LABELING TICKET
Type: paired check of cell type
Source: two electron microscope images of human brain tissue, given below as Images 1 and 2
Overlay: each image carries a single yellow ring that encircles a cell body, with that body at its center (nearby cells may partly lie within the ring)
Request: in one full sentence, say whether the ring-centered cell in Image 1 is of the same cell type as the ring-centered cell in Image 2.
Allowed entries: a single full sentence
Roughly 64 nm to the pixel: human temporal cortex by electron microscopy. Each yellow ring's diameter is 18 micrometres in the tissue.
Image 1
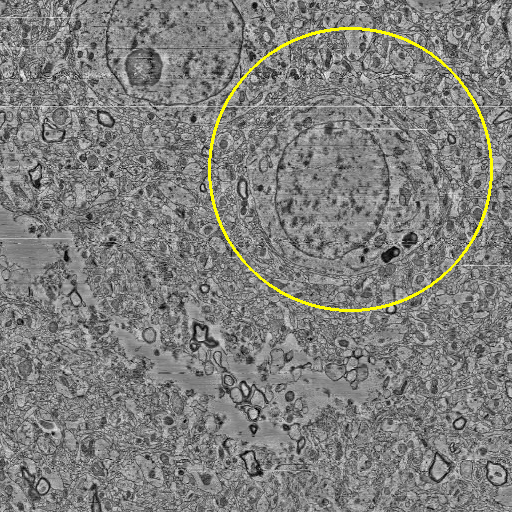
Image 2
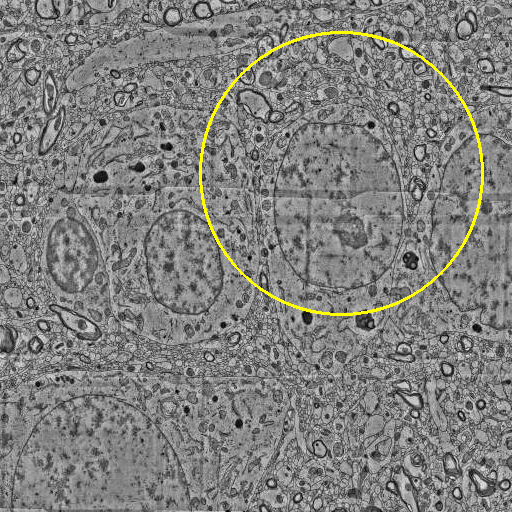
Yes, the cells centered in the rings of Image 1 and Image 2 share one type.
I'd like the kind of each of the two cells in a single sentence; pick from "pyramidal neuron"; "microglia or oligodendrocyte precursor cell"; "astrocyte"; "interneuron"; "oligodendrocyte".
Both the first and the second picture show a pyramidal neuron in the ring.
